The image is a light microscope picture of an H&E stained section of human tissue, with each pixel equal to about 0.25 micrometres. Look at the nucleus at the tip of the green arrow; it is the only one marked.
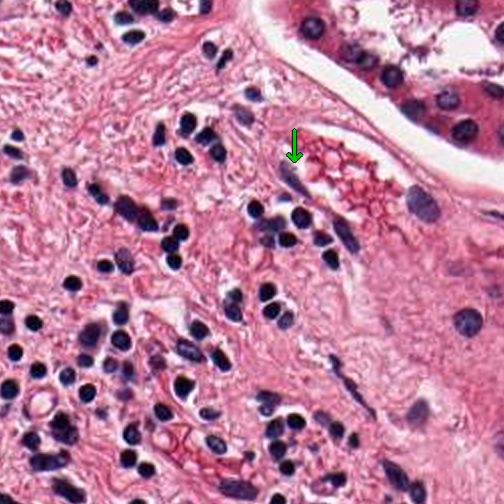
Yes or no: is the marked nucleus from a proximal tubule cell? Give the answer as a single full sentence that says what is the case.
No, rather than a proximal tubule cell, it is a supporting cell that contains the marked nucleus.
